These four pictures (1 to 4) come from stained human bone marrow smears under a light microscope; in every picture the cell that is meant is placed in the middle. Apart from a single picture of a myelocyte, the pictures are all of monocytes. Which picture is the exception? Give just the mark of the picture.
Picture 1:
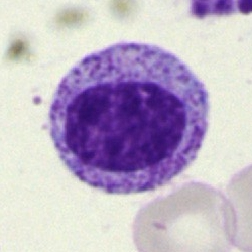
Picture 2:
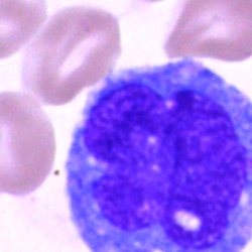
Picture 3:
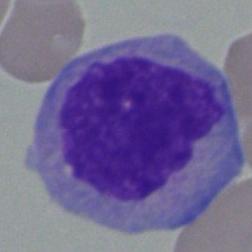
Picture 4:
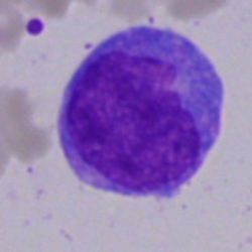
1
